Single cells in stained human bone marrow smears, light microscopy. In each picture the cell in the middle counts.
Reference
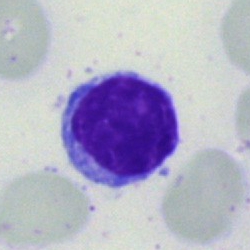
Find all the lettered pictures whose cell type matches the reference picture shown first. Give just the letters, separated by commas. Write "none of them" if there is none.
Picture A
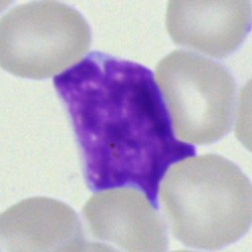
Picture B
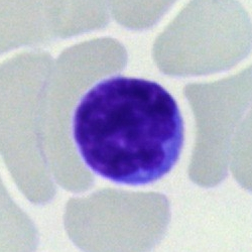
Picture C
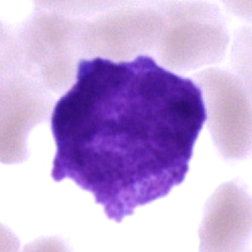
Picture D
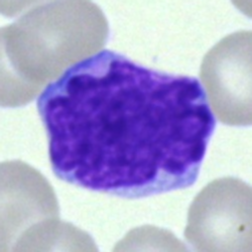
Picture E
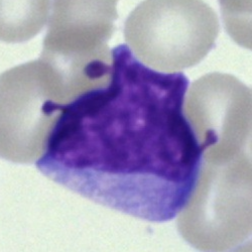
B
